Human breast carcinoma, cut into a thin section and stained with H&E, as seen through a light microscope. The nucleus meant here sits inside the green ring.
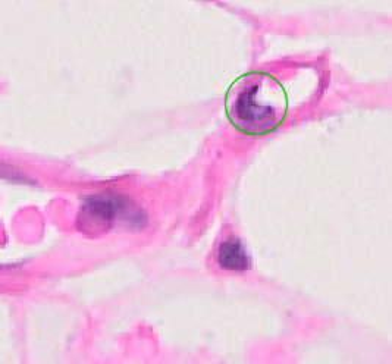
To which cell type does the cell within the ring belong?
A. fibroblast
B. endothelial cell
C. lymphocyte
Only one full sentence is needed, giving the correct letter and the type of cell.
The correct choice is option B; the cell within the ring is an endothelial cell.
